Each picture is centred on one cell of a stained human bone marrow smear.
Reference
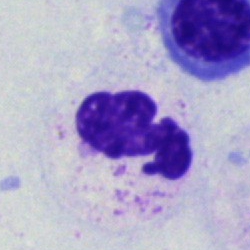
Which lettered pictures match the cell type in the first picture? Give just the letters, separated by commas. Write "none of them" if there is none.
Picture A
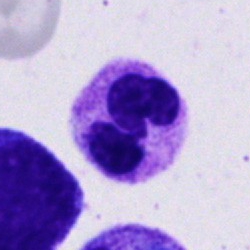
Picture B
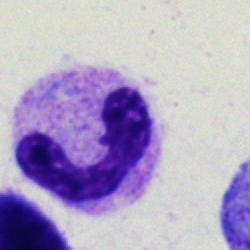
A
